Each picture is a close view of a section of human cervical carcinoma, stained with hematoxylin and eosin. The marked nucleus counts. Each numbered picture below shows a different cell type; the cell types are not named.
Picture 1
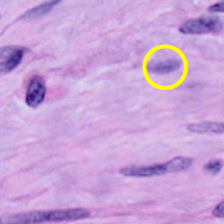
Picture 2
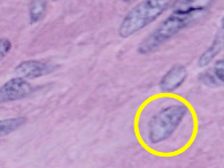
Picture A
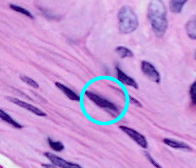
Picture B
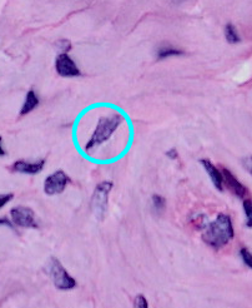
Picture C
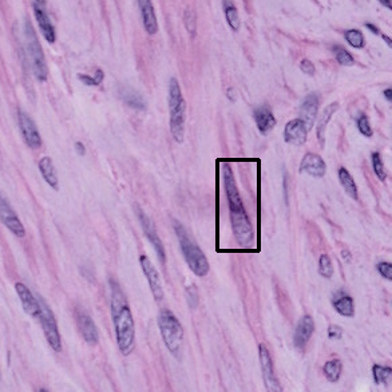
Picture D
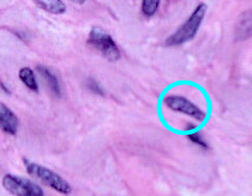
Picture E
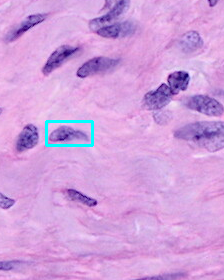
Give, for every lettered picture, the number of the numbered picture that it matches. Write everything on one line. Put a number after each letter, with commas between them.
A 1, B 1, C 2, D 1, E 1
